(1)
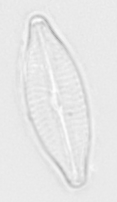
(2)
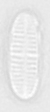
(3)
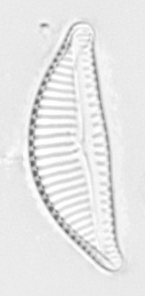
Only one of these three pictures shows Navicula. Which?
Picture 1.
